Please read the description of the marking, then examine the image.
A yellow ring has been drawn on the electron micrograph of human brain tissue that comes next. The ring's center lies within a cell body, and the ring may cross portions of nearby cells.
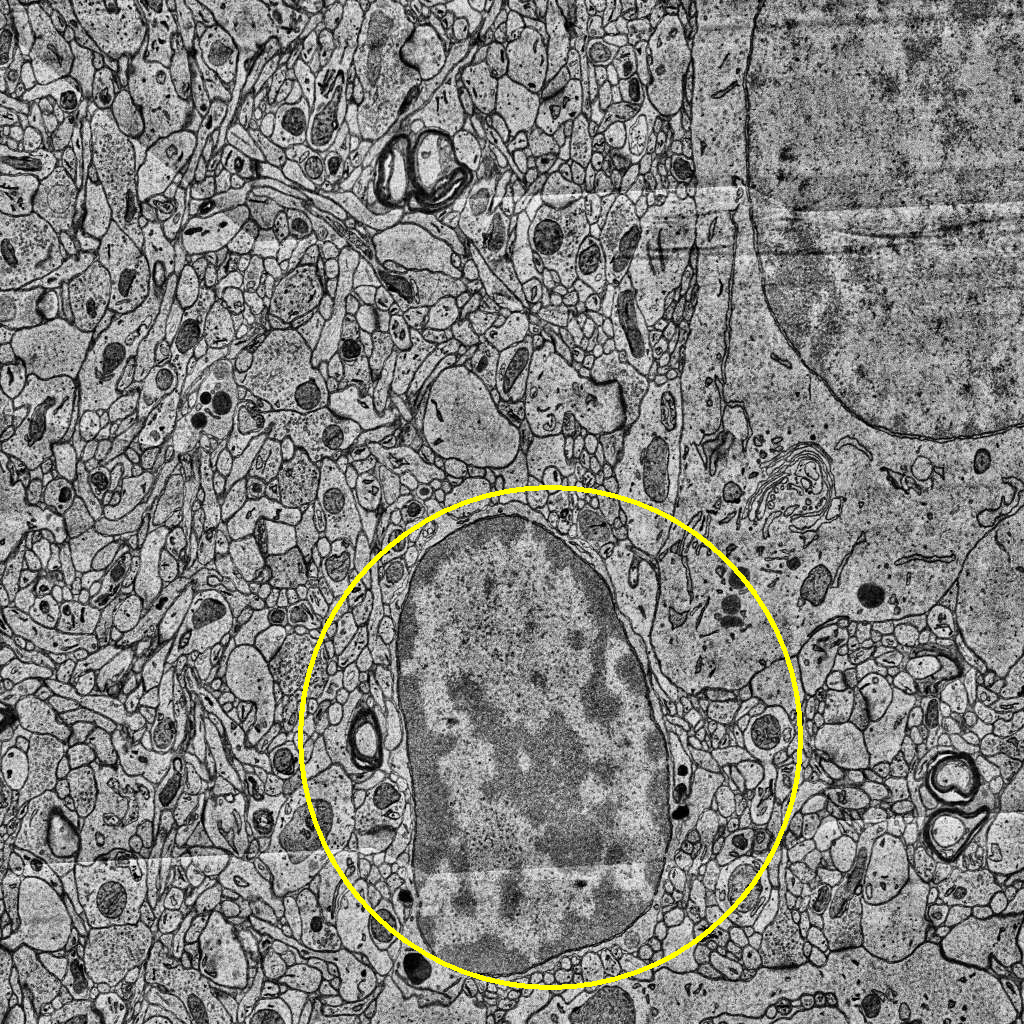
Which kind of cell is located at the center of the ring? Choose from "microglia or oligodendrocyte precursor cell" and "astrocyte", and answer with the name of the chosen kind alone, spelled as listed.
microglia or oligodendrocyte precursor cell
